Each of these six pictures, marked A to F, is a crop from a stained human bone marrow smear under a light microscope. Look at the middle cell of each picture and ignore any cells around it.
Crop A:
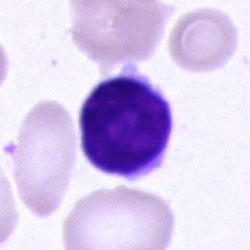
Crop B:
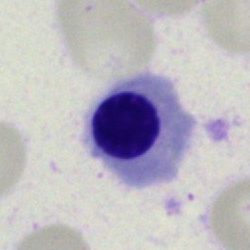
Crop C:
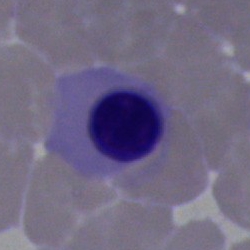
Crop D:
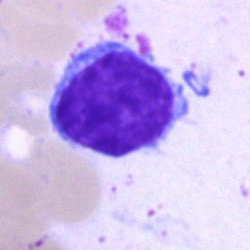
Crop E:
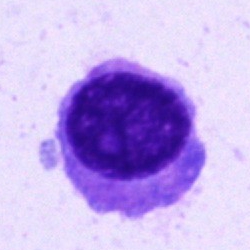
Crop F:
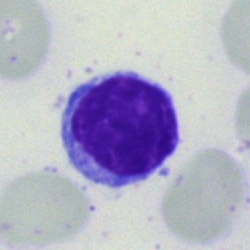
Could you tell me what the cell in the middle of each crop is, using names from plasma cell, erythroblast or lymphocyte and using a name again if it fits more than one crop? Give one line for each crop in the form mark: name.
A: lymphocyte
B: erythroblast
C: erythroblast
D: lymphocyte
E: plasma cell
F: lymphocyte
